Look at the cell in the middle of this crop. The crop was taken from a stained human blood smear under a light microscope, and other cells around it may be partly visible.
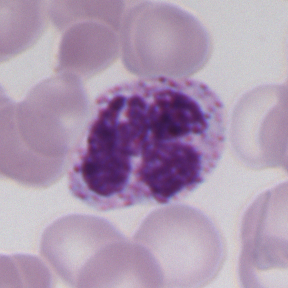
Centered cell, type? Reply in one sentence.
As for the cell in the middle, it is a basophil.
